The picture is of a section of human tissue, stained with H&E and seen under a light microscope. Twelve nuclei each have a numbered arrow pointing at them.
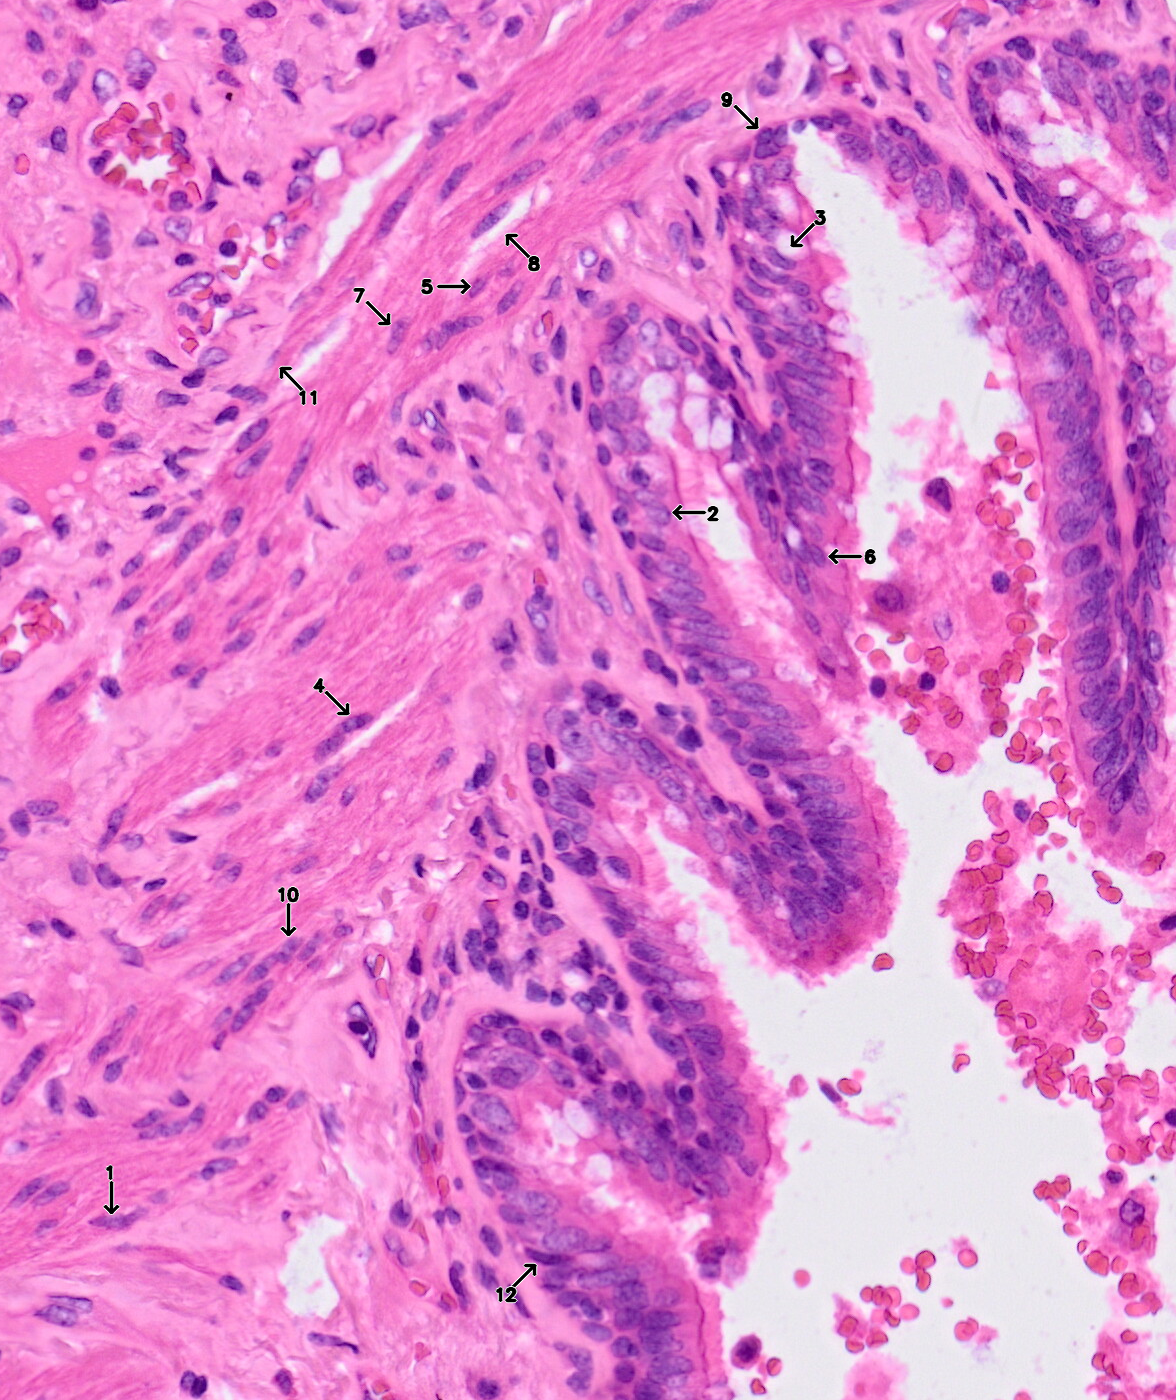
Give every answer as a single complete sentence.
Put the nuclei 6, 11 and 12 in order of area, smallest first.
From smallest to largest, the order is 11, 6, 12.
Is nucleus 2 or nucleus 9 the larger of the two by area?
Number 2 is larger; its area is about 2 times that of number 9.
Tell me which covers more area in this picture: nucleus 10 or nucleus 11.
Nucleus 10 is larger, with an area about 2.5 times that of nucleus 11.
